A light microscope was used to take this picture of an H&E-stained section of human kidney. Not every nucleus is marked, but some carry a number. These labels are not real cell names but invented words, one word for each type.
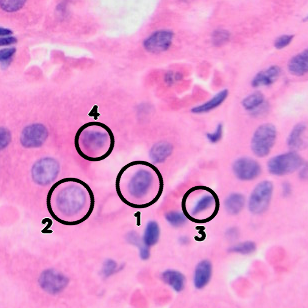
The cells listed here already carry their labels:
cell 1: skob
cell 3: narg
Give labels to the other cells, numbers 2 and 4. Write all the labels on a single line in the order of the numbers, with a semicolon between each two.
skob; skob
